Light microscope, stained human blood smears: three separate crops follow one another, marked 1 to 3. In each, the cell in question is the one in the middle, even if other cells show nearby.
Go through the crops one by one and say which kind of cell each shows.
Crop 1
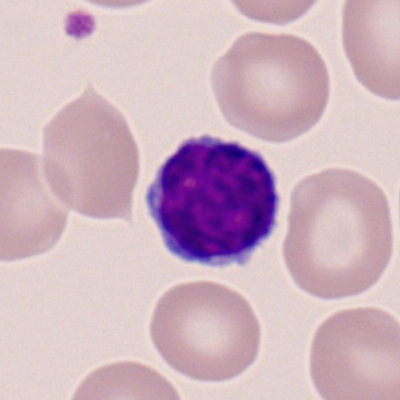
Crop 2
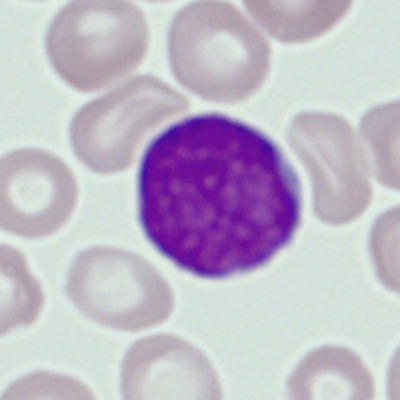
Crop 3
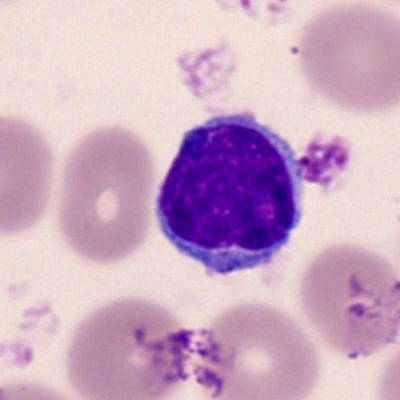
1: lymphocyte
2: myeloblast
3: lymphocyte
